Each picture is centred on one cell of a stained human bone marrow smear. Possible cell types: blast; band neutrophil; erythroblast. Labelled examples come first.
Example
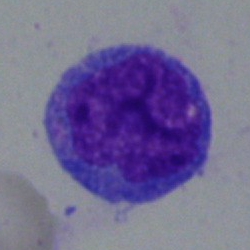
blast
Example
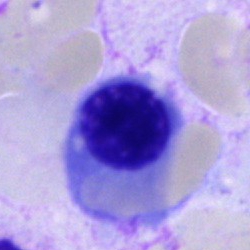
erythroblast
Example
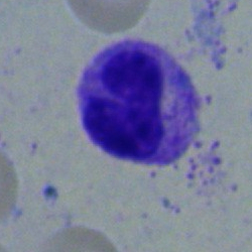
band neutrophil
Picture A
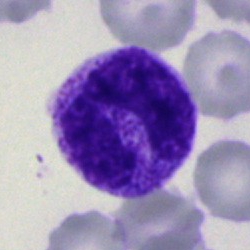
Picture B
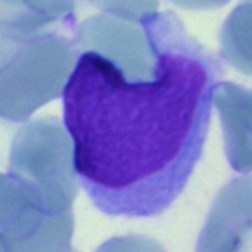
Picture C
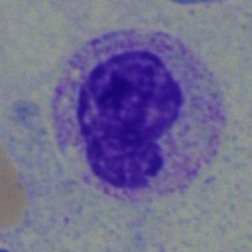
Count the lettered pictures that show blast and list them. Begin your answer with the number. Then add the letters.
1, namely B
